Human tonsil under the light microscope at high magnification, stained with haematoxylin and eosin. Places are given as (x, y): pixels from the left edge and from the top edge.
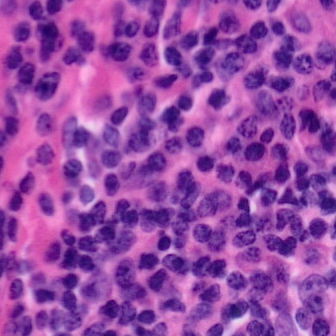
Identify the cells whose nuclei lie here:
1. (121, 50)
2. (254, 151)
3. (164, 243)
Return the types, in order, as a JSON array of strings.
["plasma cell", "plasma cell", "small lymphocyte"]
